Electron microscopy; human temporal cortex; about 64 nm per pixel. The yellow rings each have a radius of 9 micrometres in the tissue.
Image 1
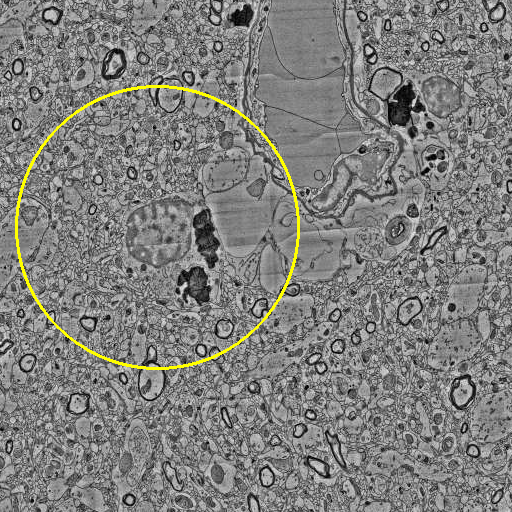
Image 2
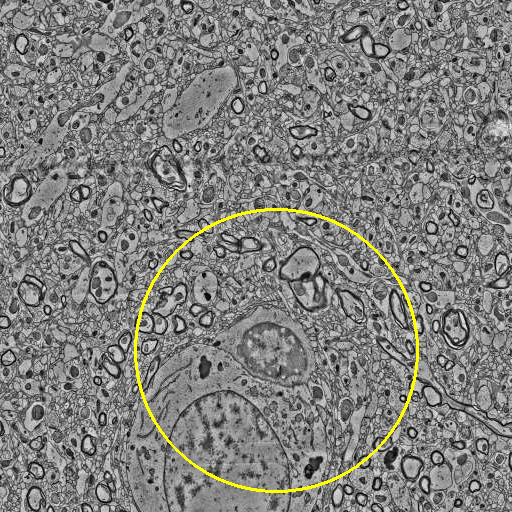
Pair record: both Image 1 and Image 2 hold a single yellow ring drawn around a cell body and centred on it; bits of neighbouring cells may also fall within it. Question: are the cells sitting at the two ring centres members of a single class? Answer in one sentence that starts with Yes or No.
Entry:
Yes, both ring-centre cells in Image 1 and Image 2 are members of one class.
